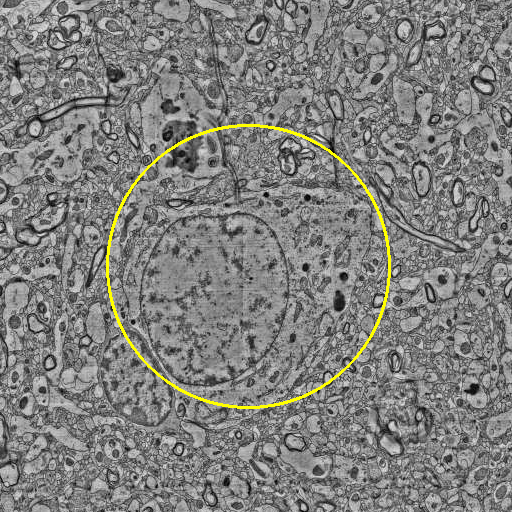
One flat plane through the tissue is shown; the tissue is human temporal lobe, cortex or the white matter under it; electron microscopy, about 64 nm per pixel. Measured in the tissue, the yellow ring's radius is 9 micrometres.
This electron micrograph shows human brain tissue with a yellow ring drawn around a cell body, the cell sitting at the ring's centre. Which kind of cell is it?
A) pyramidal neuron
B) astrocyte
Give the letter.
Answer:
A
